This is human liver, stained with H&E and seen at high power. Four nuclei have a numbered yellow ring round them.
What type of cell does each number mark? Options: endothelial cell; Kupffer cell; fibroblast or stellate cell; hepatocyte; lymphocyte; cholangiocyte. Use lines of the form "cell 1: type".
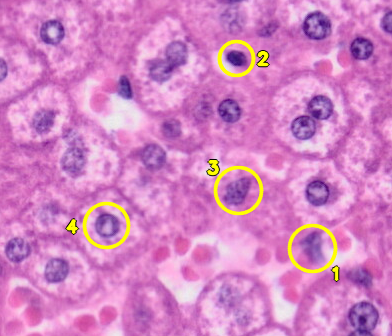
cell 1: endothelial cell
cell 2: lymphocyte
cell 3: fibroblast or stellate cell
cell 4: hepatocyte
